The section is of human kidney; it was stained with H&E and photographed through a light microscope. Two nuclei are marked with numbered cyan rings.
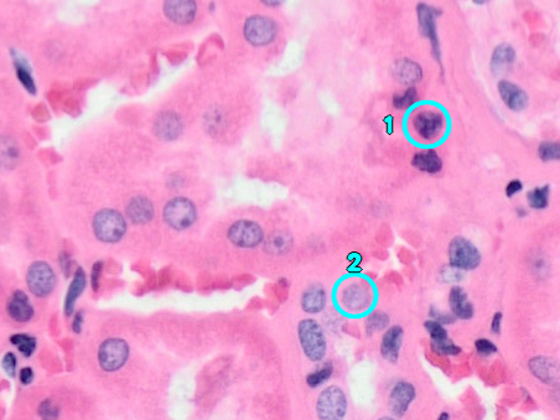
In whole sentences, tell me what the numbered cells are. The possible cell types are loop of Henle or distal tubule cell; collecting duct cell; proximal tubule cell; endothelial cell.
Cell 1 is a proximal tubule cell. Cell 2 is a collecting duct cell.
